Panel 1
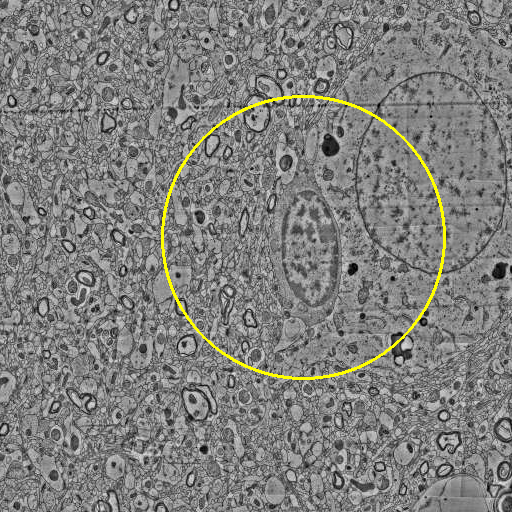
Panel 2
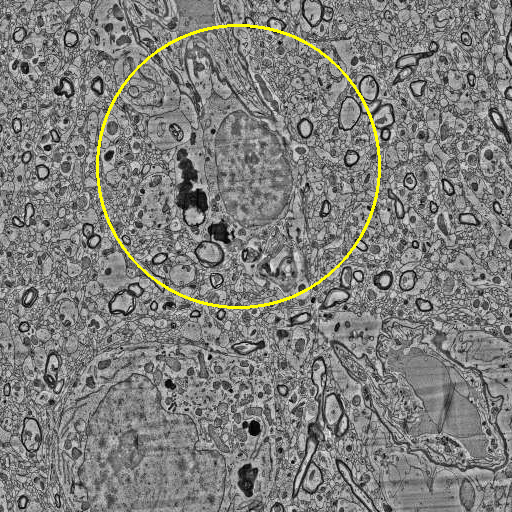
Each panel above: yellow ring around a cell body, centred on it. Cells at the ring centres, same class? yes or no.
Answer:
yes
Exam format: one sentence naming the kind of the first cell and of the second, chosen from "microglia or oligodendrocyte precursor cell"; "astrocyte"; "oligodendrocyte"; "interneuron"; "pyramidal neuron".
In both pictures the ring is centred on an oligodendrocyte.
